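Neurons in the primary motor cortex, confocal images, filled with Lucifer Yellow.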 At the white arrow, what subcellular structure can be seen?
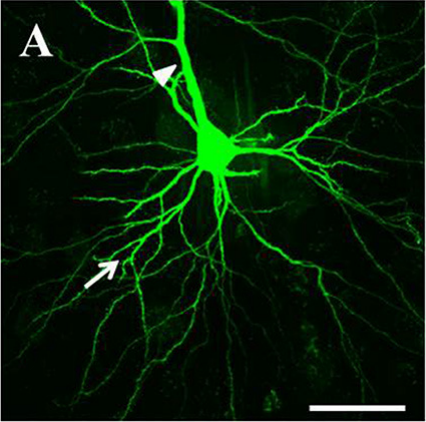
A: Basal dendrites.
